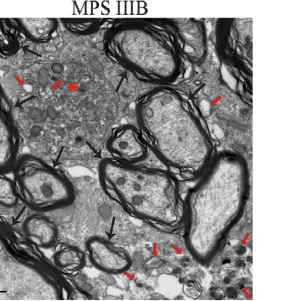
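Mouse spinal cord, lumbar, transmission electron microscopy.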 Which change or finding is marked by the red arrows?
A: Lysosomal storage lesions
